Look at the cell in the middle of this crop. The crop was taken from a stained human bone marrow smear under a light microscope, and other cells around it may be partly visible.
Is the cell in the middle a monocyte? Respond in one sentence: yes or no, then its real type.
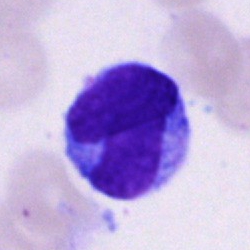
Yes, the identification of the central cell as a monocyte is correct.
